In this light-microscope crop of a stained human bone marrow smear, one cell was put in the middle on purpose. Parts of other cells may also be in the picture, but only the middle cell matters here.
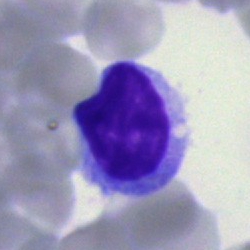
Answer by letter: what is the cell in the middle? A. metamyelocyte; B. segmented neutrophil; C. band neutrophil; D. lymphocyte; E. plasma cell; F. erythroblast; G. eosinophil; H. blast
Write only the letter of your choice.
D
